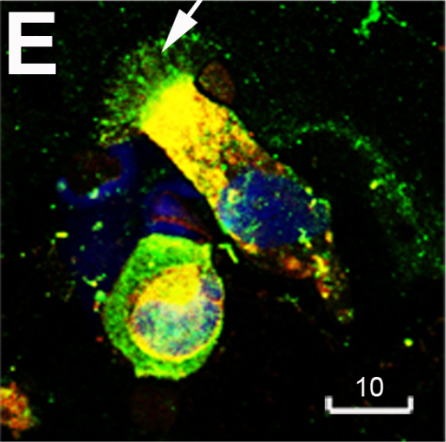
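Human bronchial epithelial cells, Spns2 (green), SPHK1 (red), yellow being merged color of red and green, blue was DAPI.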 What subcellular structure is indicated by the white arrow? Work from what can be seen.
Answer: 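The arrow points to a brush of fine green projections at the wide end of a tapering cell. The projections fan out from the cell's apical surface.
Cilia.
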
